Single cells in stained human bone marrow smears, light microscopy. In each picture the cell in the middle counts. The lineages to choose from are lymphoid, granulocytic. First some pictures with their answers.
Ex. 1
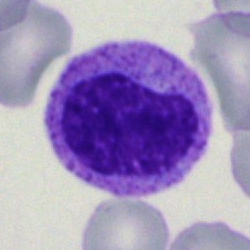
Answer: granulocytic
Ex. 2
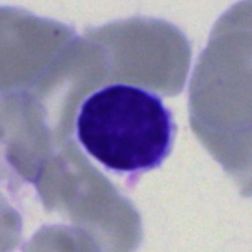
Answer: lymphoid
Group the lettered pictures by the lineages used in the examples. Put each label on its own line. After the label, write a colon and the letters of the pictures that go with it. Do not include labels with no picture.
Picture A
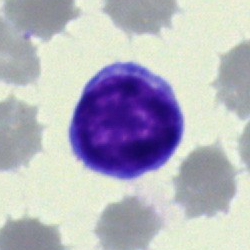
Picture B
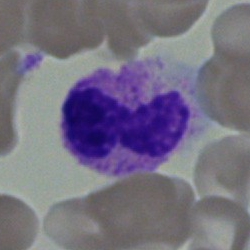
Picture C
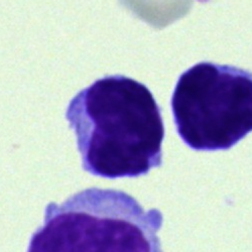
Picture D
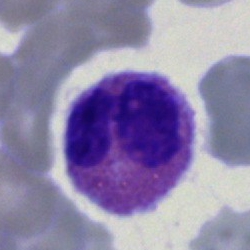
lymphoid: A, C
granulocytic: B, D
